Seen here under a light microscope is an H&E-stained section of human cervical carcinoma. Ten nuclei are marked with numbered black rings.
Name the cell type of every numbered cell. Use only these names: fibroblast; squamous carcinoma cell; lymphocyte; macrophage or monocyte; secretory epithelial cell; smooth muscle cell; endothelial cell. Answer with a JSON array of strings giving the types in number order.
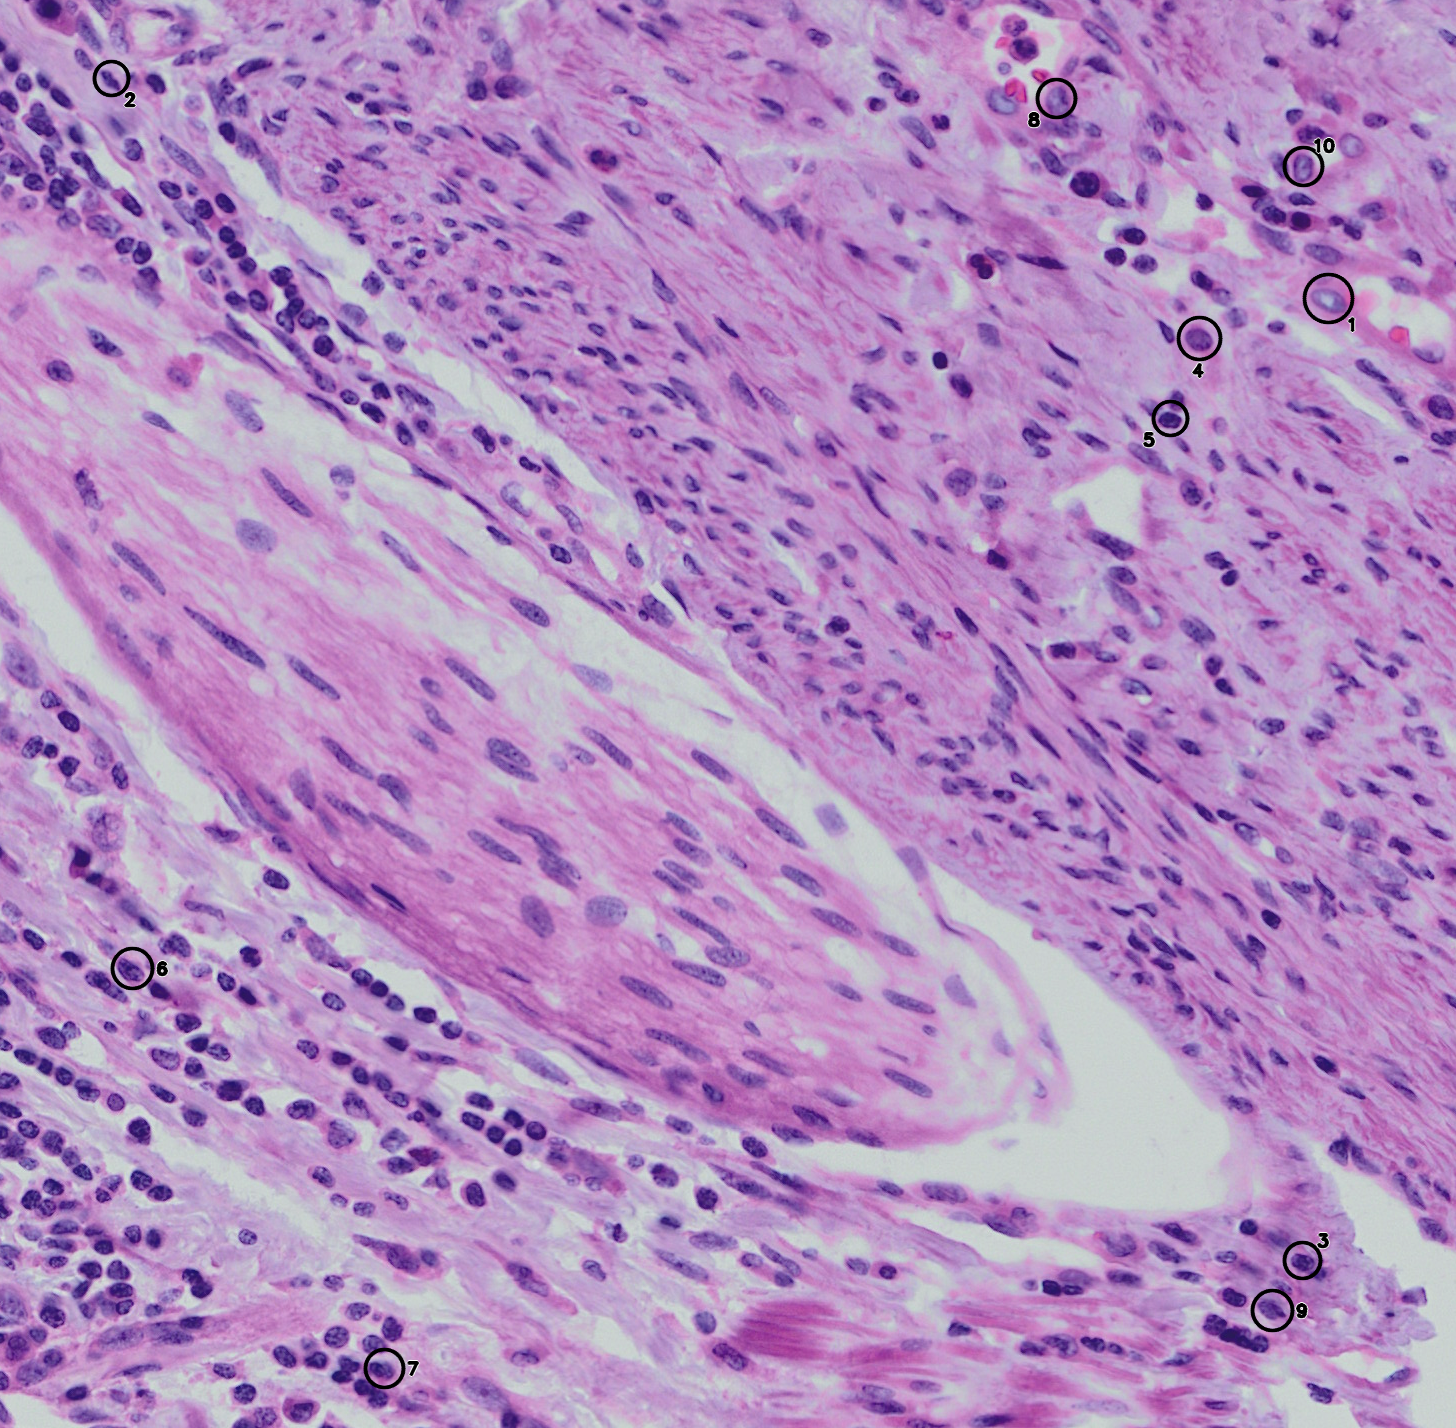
["endothelial cell", "lymphocyte", "lymphocyte", "macrophage or monocyte", "lymphocyte", "lymphocyte", "lymphocyte", "endothelial cell", "lymphocyte", "endothelial cell"]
